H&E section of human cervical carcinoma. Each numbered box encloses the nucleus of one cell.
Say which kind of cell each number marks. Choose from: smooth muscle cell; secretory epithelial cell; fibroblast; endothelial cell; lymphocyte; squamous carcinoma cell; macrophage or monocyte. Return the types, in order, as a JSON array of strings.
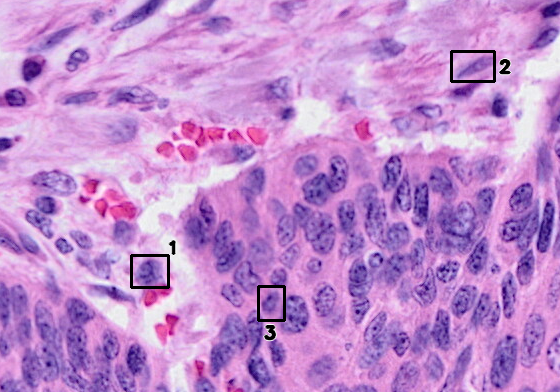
["endothelial cell", "fibroblast", "squamous carcinoma cell"]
